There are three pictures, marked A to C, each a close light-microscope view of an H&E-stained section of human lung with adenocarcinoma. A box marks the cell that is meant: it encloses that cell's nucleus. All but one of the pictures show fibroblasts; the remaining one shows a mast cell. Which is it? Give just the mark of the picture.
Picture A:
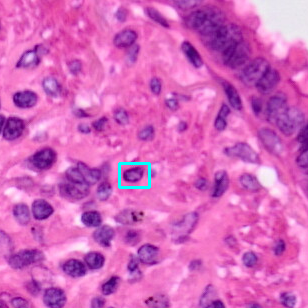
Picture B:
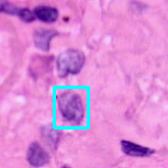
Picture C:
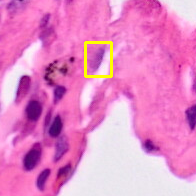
A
